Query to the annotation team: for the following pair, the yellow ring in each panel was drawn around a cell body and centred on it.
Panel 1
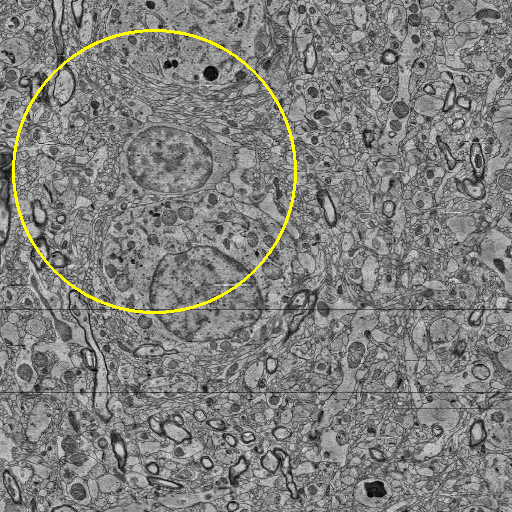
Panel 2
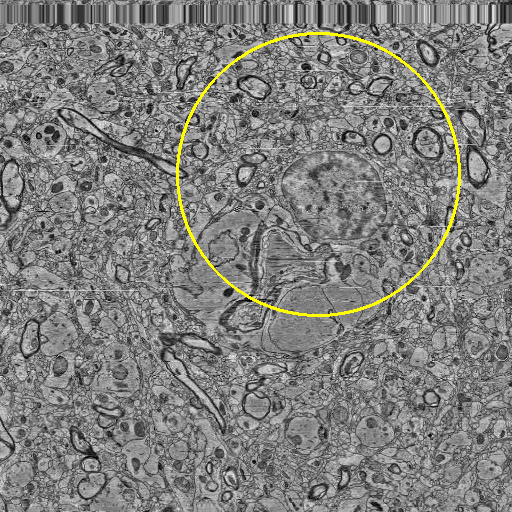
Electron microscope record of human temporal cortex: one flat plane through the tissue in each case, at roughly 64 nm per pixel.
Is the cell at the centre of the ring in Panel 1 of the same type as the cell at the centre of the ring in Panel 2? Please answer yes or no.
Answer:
yes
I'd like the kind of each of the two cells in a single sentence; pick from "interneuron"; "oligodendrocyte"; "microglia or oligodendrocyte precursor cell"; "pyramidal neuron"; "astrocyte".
Each of the two rings surrounds an oligodendrocyte.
